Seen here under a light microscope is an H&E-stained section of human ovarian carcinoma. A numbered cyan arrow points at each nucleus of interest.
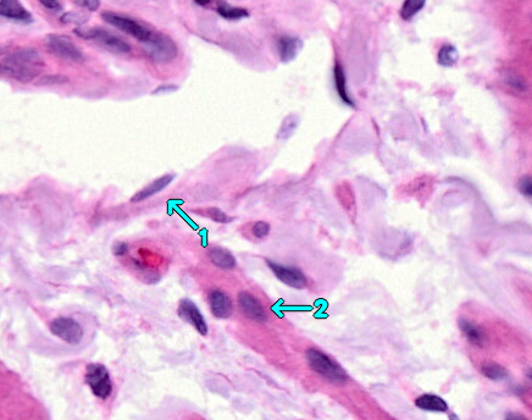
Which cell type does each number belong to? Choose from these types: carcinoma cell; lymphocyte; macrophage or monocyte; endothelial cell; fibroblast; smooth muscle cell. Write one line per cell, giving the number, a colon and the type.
1: endothelial cell
2: smooth muscle cell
